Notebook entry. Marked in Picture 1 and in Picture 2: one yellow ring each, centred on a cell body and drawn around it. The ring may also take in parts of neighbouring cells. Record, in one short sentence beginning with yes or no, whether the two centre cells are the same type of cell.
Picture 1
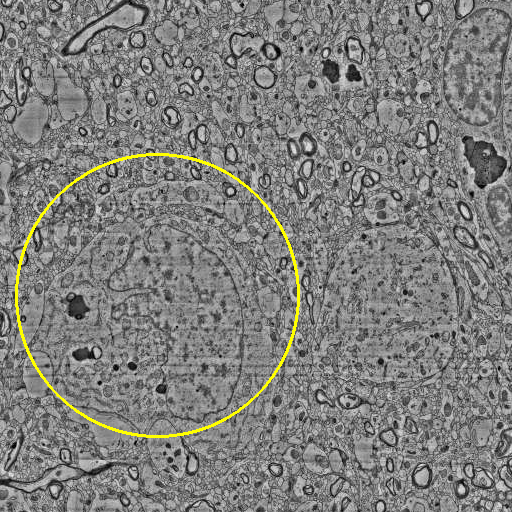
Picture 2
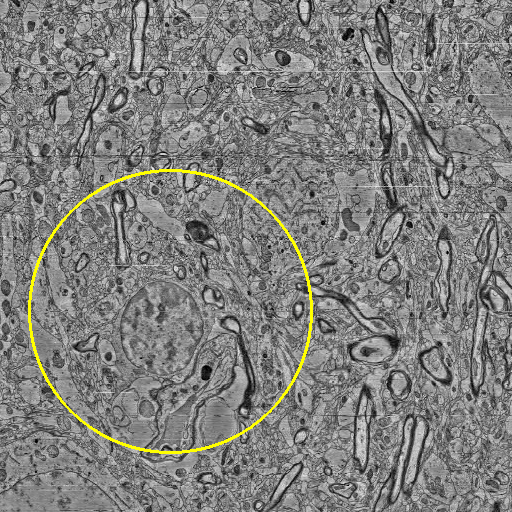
No, they are two types of cell.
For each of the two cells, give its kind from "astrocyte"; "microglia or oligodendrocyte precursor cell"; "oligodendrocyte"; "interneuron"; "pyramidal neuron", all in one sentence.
The first picture has a pyramidal neuron in its ring, the second has an oligodendrocyte.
